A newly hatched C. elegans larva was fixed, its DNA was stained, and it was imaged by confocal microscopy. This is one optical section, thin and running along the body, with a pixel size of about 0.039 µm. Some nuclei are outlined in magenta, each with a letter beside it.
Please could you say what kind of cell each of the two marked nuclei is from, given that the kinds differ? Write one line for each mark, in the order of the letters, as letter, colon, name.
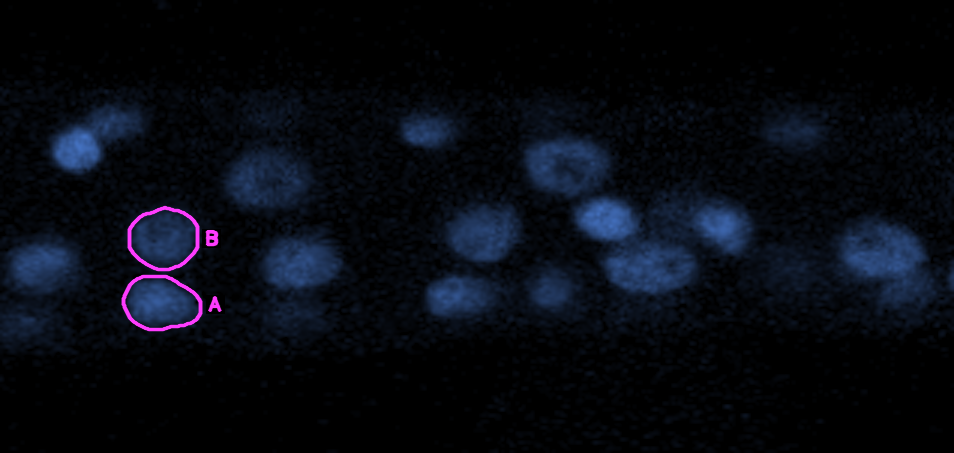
A: body wall muscle cell
B: seam cell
